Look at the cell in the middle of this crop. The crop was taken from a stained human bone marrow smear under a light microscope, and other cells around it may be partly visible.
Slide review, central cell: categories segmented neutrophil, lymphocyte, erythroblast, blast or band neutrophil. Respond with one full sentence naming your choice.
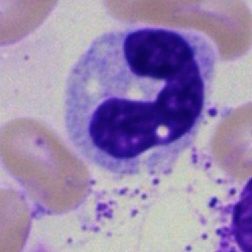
The target cell in the middle of the crop is a band neutrophil.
